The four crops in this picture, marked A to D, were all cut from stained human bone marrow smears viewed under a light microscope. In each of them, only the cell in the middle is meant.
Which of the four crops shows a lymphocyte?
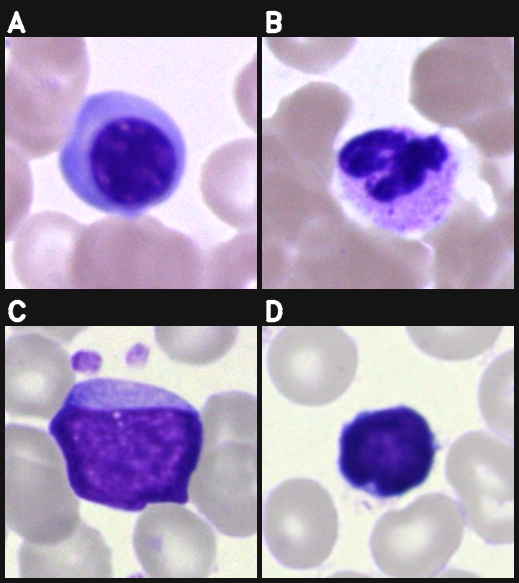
D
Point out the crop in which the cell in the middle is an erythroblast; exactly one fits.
A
